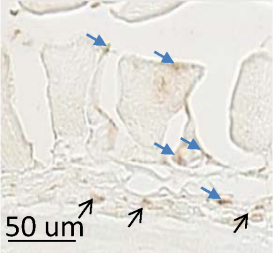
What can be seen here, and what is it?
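This is skeletal muscle in cross-section lying over the surface of bone, with a thin layer of bone-lining cells at the lower edge. The muscle fibers are large, pale, polygonal profiles separated by thin connective tissue septa, and small brown-stained spots and cells lie at the edges of several fibers and in the spaces between them. Along the lower margin a thin band of flattened cells lies against a pale matrix, and some of these lining cells also carry brown stain.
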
